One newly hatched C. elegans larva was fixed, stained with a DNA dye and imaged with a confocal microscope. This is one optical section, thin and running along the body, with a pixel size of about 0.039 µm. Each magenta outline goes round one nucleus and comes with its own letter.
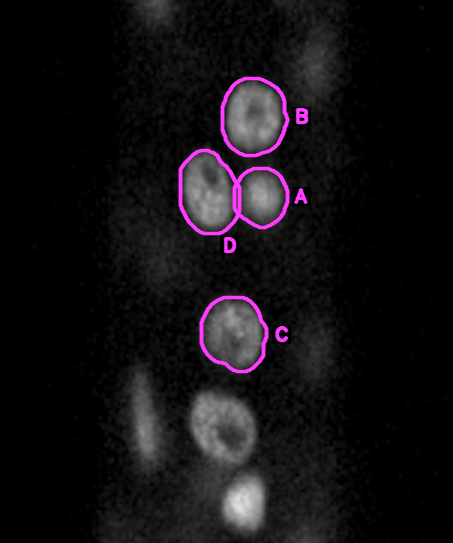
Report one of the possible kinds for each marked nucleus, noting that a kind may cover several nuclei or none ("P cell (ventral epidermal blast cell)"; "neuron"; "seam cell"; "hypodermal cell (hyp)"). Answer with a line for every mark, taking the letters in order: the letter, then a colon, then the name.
A: neuron
B: seam cell
C: hypodermal cell (hyp)
D: hypodermal cell (hyp)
